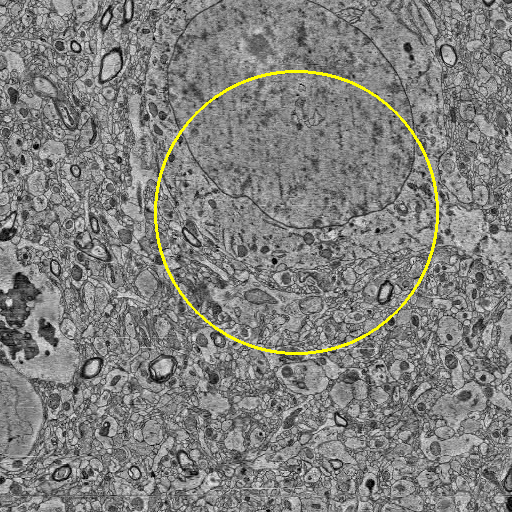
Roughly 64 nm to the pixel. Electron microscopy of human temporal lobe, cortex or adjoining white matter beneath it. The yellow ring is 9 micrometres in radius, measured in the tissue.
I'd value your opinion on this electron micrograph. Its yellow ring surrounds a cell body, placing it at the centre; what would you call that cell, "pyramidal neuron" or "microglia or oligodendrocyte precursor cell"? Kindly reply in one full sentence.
It is a pyramidal neuron that sits centred within the yellow ring in this micrograph.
